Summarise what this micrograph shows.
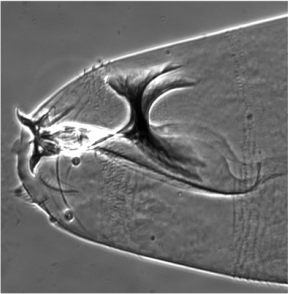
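The tapered anterior end of an embryo is shown with its head skeleton, a dark, strongly refractile cuticular framework inside the pale body. Paired dark arms spread into a forked shape further back and are joined to slender rods running forward to hooked, spiky structures at the very tip of the head.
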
